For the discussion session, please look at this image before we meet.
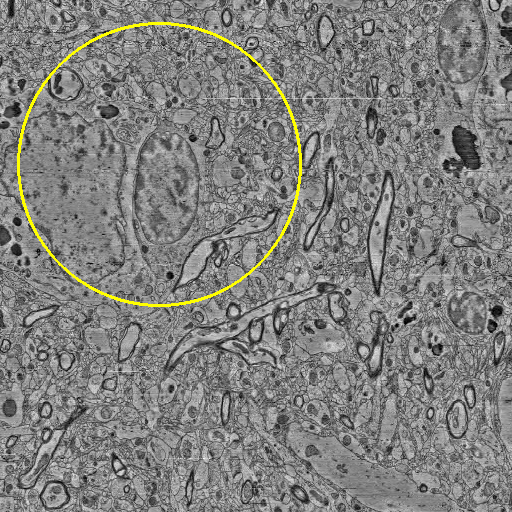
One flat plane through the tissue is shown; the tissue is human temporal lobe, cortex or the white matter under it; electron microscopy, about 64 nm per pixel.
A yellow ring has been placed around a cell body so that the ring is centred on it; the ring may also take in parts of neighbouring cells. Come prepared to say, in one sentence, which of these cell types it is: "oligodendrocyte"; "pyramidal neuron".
The cell centred in the ring is an oligodendrocyte.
